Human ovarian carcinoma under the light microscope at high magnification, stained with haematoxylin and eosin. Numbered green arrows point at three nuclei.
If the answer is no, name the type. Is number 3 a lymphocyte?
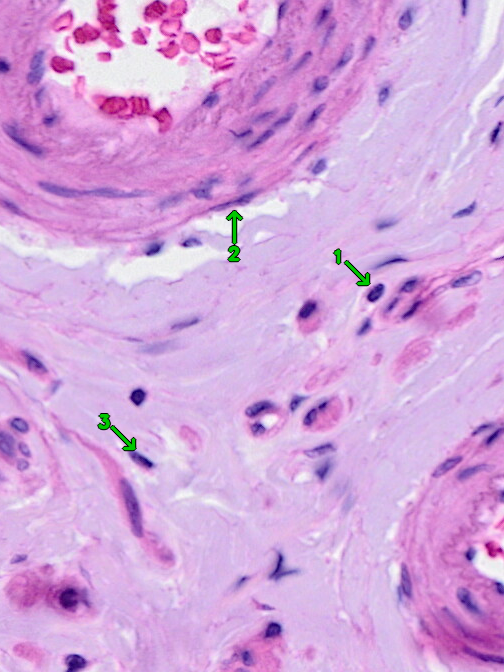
No, it is a fibroblast.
